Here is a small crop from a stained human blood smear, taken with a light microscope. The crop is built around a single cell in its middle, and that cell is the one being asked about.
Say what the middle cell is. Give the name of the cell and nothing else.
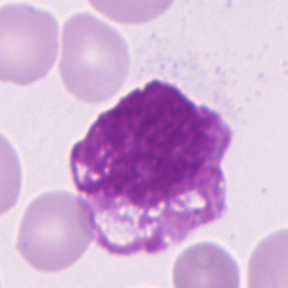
smudge cell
